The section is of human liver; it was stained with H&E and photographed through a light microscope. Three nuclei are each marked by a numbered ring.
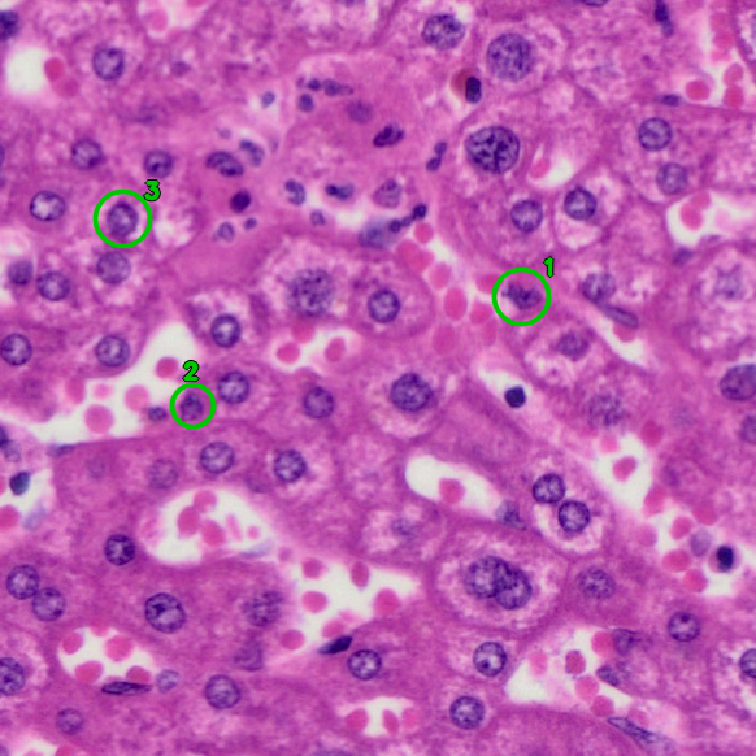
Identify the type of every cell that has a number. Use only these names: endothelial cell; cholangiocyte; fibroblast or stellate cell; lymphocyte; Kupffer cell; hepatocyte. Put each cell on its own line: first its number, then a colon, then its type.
1: endothelial cell
2: fibroblast or stellate cell
3: hepatocyte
